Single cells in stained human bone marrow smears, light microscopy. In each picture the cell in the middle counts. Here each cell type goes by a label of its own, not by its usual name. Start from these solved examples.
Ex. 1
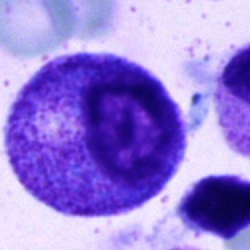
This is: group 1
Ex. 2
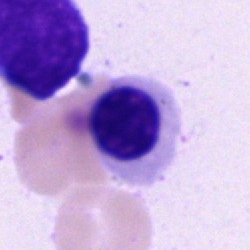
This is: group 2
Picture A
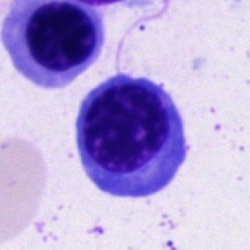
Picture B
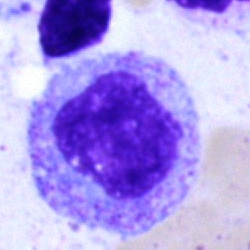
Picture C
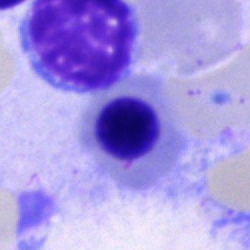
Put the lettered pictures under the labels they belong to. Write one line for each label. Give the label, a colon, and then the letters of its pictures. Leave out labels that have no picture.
group 1: B
group 2: A, C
